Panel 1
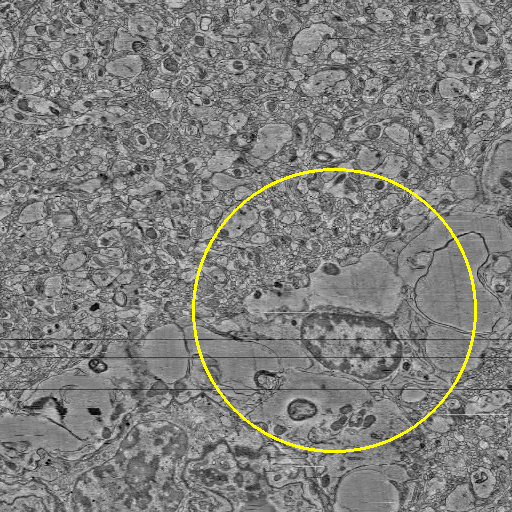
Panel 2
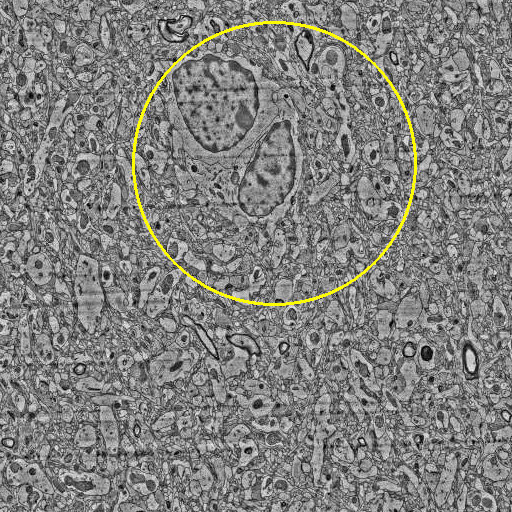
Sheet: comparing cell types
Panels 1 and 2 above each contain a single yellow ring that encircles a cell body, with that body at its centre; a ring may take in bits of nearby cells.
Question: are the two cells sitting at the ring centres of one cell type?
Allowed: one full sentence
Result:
Yes, the ring-centre cells in Panel 1 and Panel 2 are of one type.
